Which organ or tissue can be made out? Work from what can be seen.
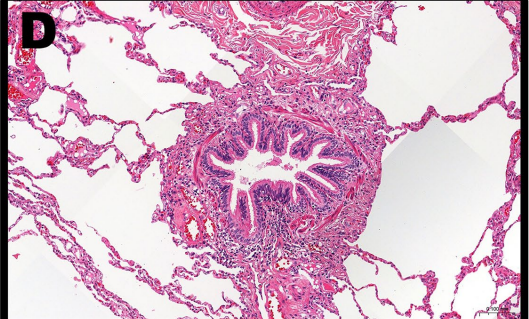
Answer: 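A central tube lined by folded columnar epithelium with a star-shaped lumen. It is surrounded by alveoli with thin walls.
Conclusion: small airway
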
